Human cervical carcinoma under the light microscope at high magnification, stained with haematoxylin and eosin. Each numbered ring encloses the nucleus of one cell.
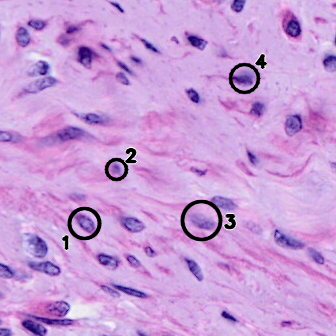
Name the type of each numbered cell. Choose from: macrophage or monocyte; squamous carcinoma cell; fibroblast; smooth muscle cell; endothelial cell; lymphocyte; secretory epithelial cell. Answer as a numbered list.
1. smooth muscle cell
2. smooth muscle cell
3. smooth muscle cell
4. fibroblast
